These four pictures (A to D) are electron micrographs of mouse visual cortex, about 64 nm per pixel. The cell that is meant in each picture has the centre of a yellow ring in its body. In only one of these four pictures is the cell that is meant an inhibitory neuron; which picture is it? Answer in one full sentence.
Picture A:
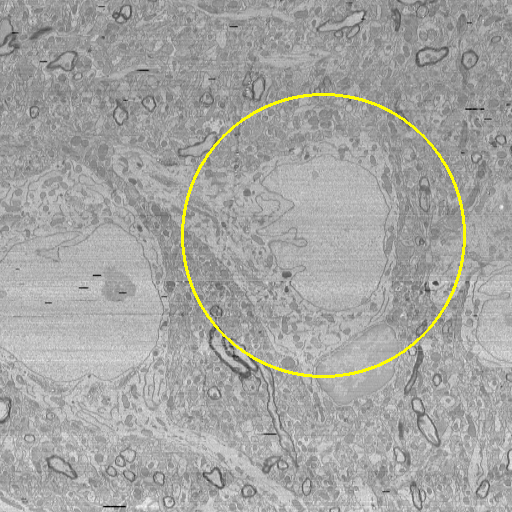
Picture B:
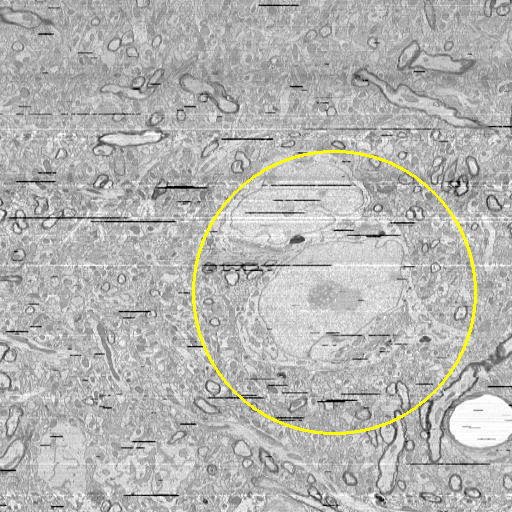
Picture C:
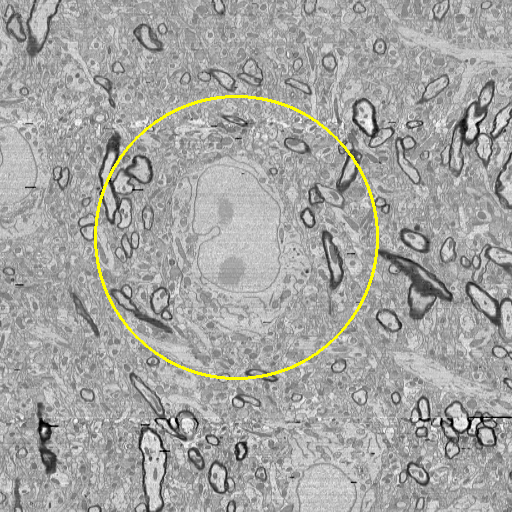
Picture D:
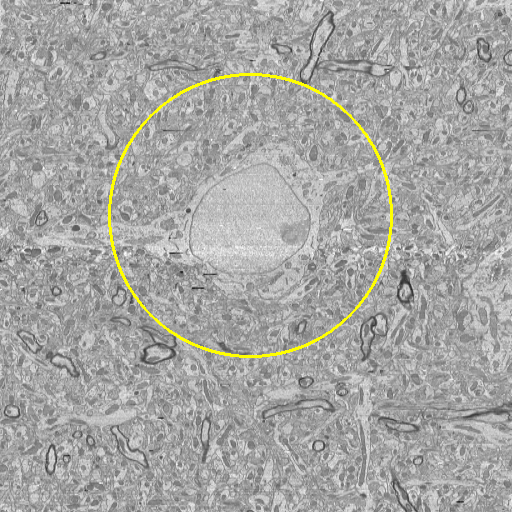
The cell in picture B is the inhibitory neuron.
